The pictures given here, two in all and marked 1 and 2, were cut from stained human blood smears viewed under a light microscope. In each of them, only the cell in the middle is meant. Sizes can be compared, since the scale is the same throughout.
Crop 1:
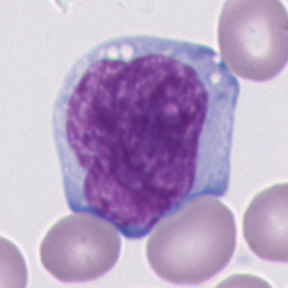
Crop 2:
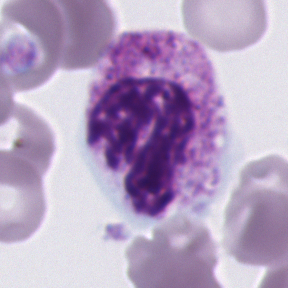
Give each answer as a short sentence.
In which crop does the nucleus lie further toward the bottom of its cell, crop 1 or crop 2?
The nucleus in crop 2 lies further toward the bottom of its cell.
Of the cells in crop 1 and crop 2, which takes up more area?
The cell in crop 1 is larger, with about 1.5 times the area of the one in crop 2.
